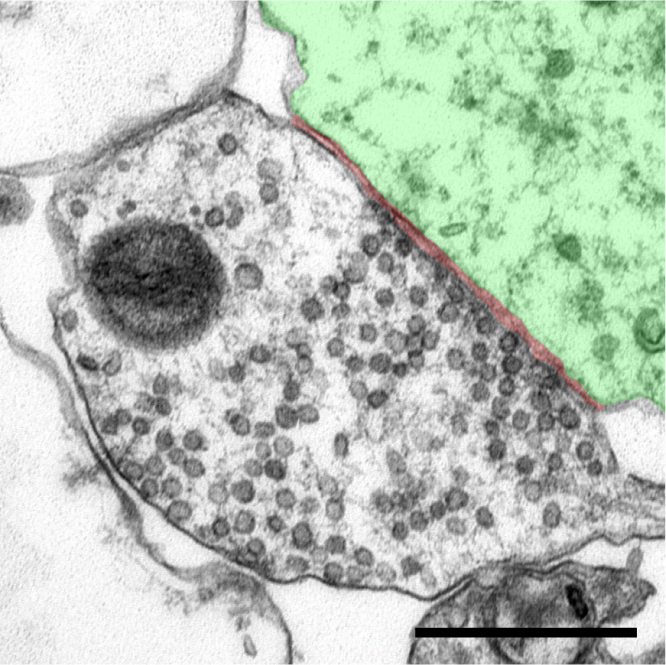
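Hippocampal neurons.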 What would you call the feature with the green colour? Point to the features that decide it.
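The green region lies directly opposite a bouton packed with round vesicles. The green region is separated from the bouton by a narrow dense apposition.
Answer: postsynapse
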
